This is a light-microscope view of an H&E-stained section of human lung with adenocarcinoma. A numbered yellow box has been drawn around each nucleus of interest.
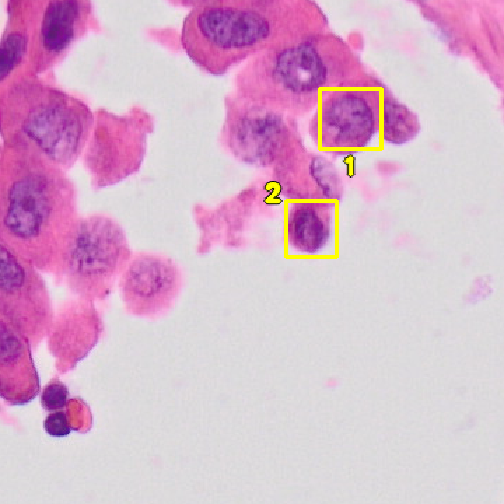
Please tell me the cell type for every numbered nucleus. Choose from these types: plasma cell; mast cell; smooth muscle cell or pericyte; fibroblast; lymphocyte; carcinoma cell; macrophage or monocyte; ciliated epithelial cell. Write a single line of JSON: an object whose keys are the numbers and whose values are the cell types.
{"1": "carcinoma cell", "2": "macrophage or monocyte"}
